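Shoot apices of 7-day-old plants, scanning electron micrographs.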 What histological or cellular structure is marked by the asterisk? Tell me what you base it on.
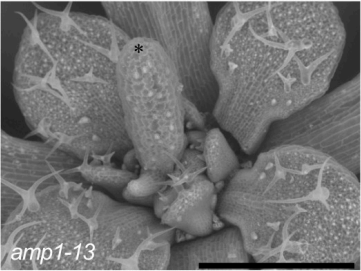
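Central leaf-like structure with radial polarity. An elongated, finger-like, cylindrical organ rises from the centre of the apex. It has no flat blade, unlike the surrounding leaves bearing branched trichomes. Its surface is covered with small bumpy epidermal cells.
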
